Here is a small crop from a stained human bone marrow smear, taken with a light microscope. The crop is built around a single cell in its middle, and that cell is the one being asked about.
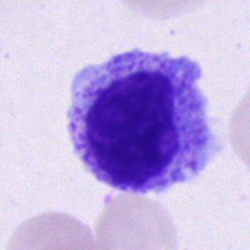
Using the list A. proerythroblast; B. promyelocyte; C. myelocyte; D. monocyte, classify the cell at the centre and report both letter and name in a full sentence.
Of the options given, C is correct, the central cell being a myelocyte.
